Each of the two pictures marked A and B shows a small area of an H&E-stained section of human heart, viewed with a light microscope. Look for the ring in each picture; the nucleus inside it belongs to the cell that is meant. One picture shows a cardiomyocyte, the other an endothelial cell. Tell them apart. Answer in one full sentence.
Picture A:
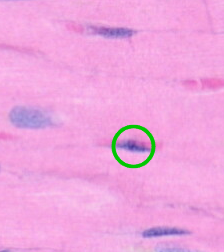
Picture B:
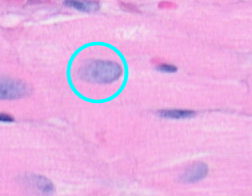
Picture A shows an endothelial cell and picture B shows a cardiomyocyte.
